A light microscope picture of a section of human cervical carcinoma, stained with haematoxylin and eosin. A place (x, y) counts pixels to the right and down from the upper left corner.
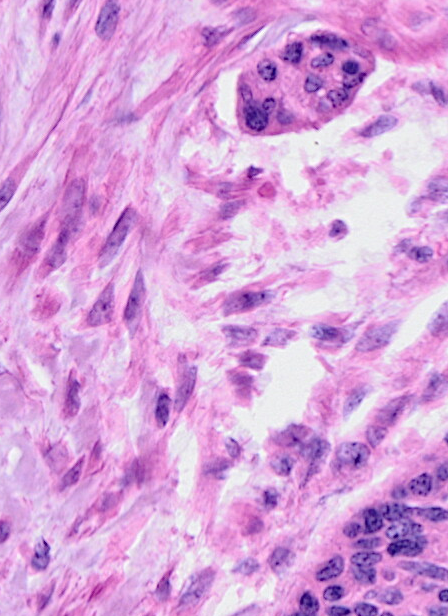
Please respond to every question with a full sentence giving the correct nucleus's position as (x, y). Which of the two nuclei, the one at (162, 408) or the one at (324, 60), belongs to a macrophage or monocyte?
Among the two nuclei, the one lying at (162, 408) is part of a macrophage or monocyte.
